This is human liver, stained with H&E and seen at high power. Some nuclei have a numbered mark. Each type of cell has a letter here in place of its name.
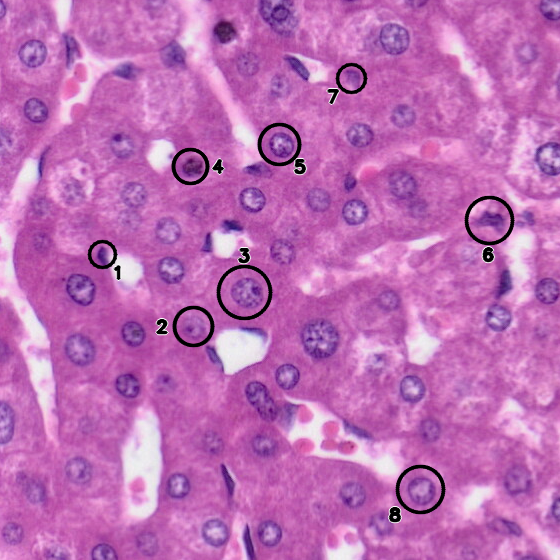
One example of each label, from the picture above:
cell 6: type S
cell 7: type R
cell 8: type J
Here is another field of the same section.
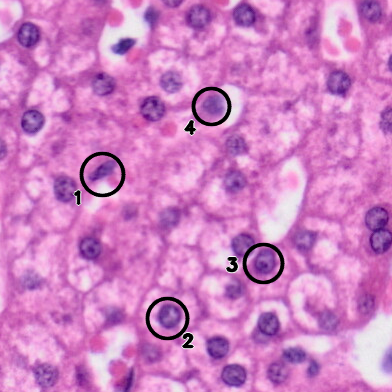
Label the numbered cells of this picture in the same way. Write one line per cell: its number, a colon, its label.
1: type R
2: type J
3: type J
4: type S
